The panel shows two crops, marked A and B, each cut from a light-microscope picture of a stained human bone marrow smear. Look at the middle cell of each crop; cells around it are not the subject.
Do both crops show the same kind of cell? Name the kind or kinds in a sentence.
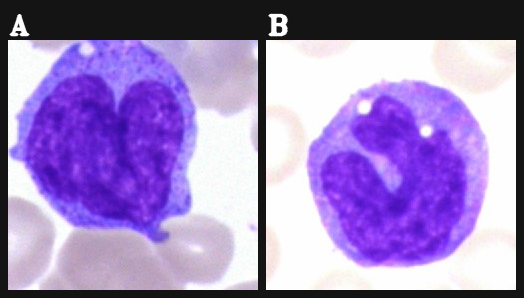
Yes, shown in both crops are monocytes.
